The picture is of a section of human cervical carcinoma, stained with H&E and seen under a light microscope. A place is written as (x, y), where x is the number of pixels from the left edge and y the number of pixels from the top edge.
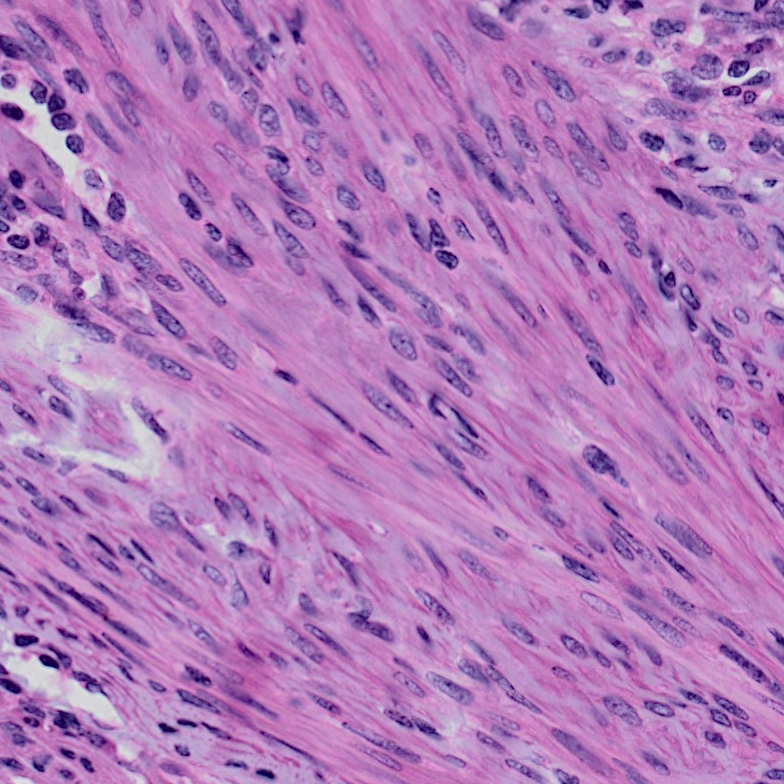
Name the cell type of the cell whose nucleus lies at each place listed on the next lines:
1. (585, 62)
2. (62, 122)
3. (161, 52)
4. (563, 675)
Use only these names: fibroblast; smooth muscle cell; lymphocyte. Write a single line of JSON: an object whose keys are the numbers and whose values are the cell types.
{"1": "smooth muscle cell", "2": "lymphocyte", "3": "smooth muscle cell", "4": "smooth muscle cell"}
